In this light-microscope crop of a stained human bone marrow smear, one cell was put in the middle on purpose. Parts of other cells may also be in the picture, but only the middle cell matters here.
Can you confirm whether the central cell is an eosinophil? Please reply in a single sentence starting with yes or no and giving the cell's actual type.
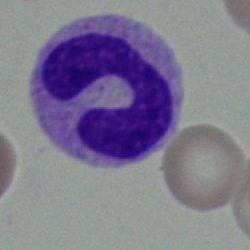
No, this cell in the middle is a band neutrophil, so it is not an eosinophil.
